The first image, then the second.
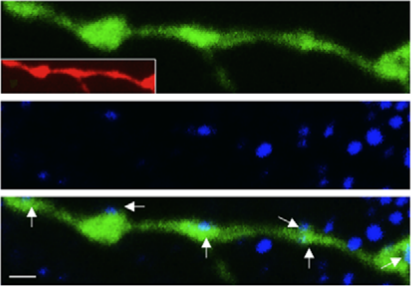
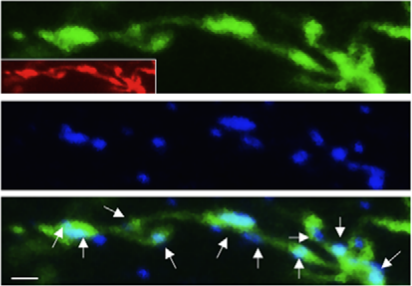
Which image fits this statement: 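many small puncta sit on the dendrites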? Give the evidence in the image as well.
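Second image: many blue puncta overlap the green processes, marked by numerous arrows. First image: only a few blue puncta touch the green process, most lie apart from it. The answer: the second image.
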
